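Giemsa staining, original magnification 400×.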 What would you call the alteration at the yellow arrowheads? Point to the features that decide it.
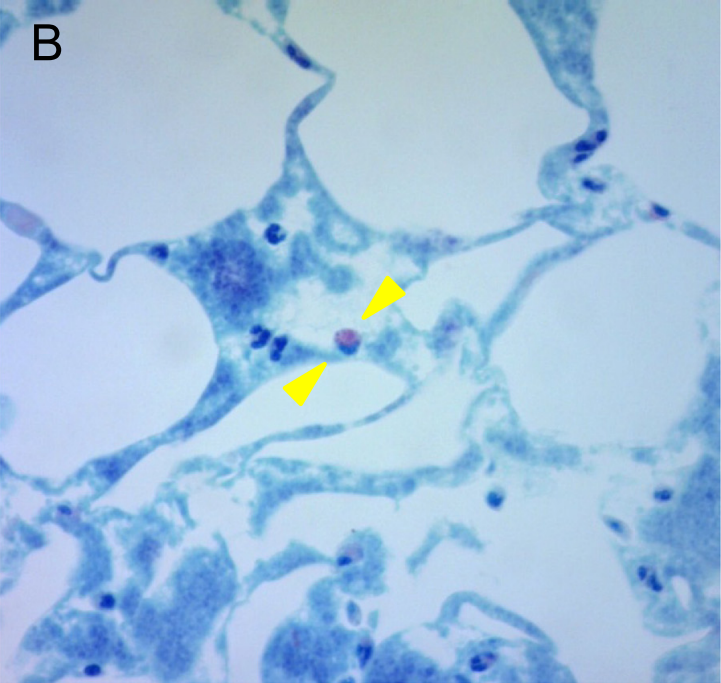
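The cell between the arrowheads has pinkish-red cytoplasm unlike the surrounding blue-stained material. It has a small dark nucleus. The answer: eosinophilic infiltration.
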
